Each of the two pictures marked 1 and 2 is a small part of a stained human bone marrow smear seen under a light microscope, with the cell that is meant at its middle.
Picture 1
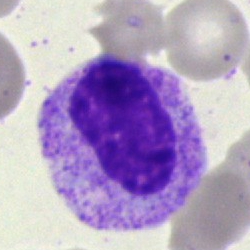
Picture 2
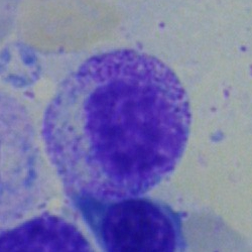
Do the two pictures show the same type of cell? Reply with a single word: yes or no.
no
